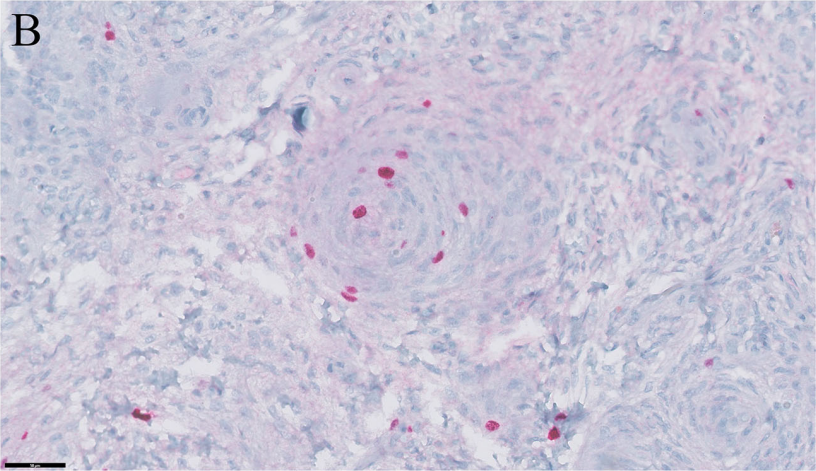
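Meningioma showing a central concentric whorl of cells with pale cytoplasm and blue-counterstained oval nuclei, surrounded by looser spindle-cell tissue and further whorls. Scattered individual nuclei are stained deep red, several arranged within the whorl and others in the surrounding tissue; most nuclei remain pale blue. The red nuclei are round to oval and compact. A small dark mineralized body lies at the upper left edge of the whorl.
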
